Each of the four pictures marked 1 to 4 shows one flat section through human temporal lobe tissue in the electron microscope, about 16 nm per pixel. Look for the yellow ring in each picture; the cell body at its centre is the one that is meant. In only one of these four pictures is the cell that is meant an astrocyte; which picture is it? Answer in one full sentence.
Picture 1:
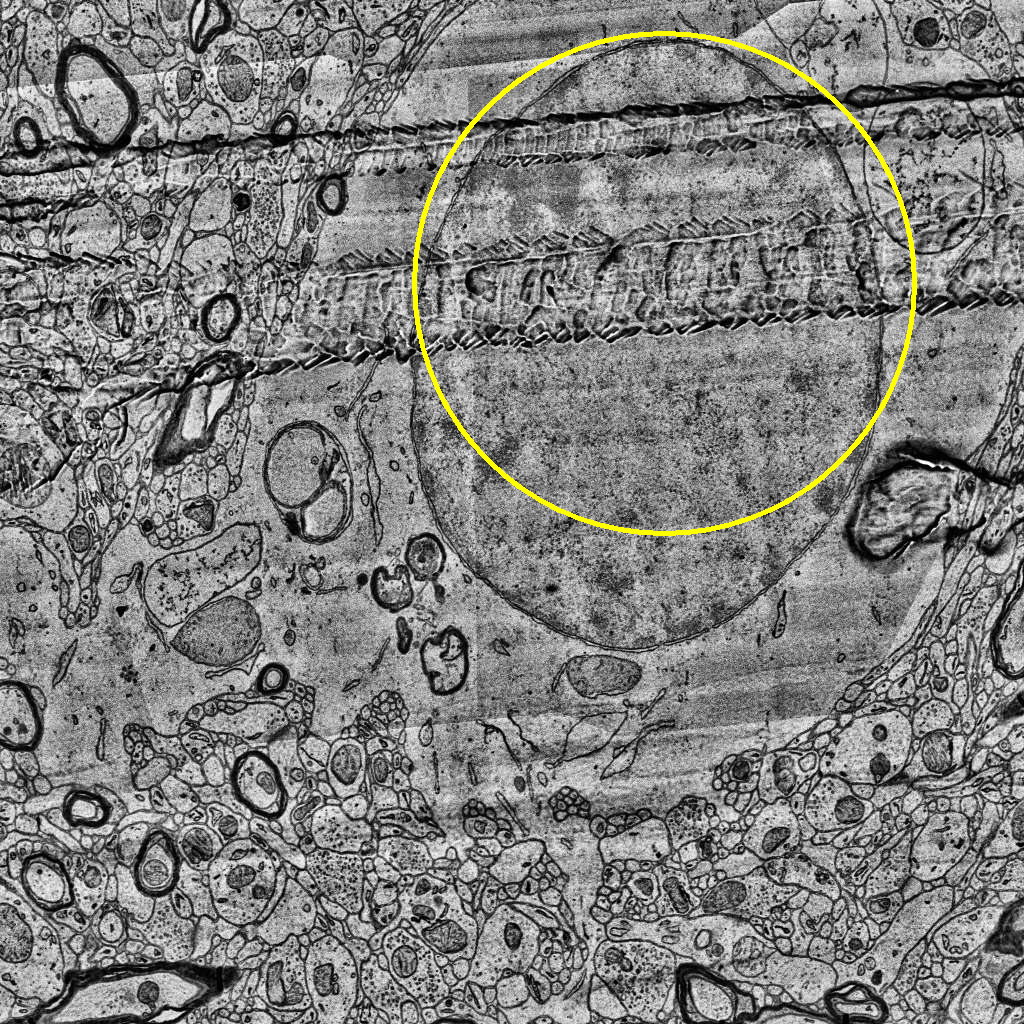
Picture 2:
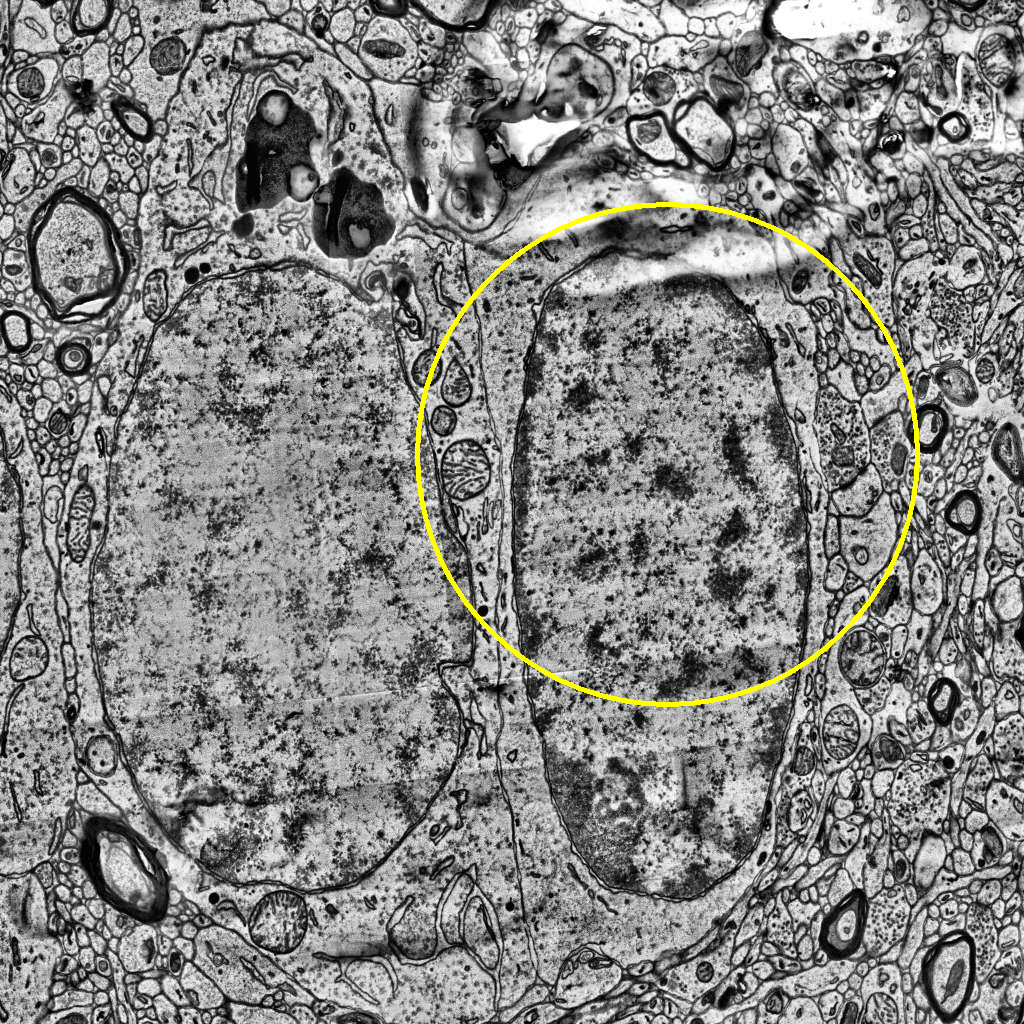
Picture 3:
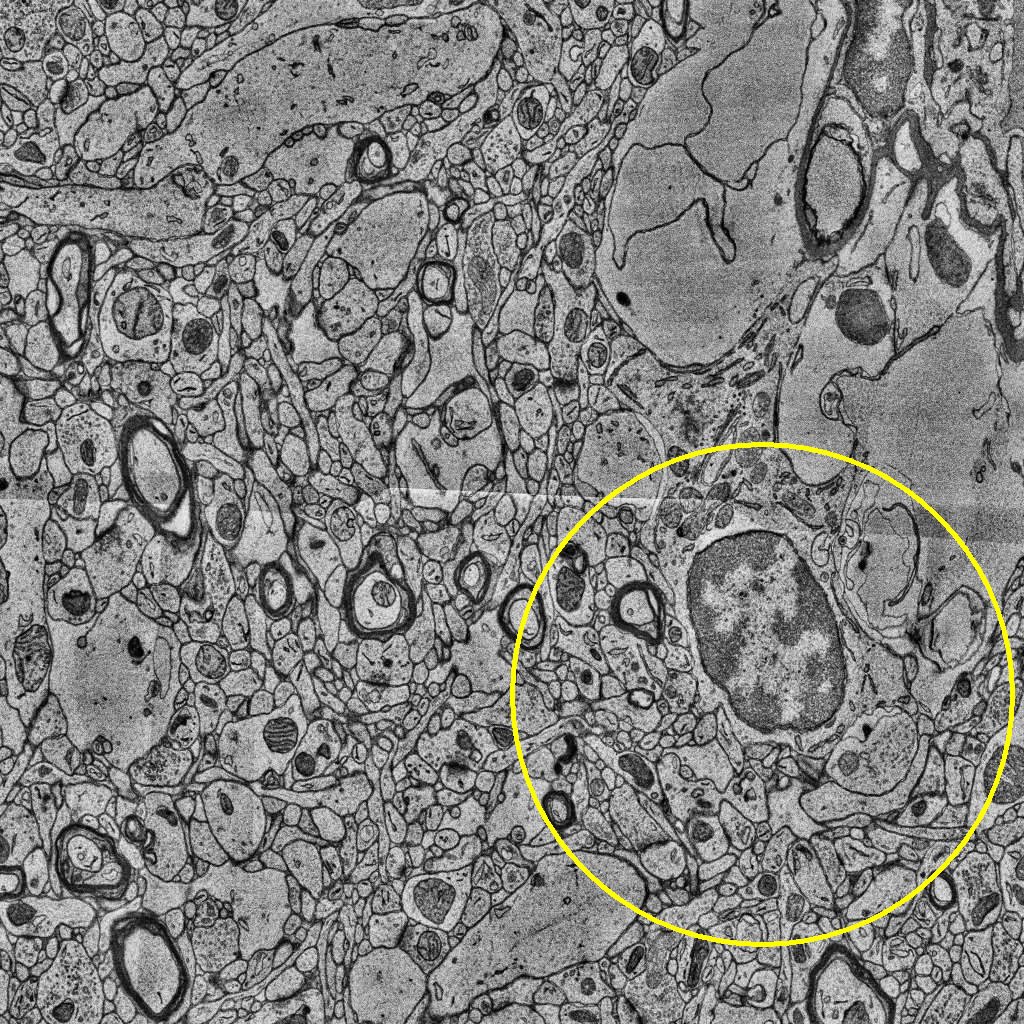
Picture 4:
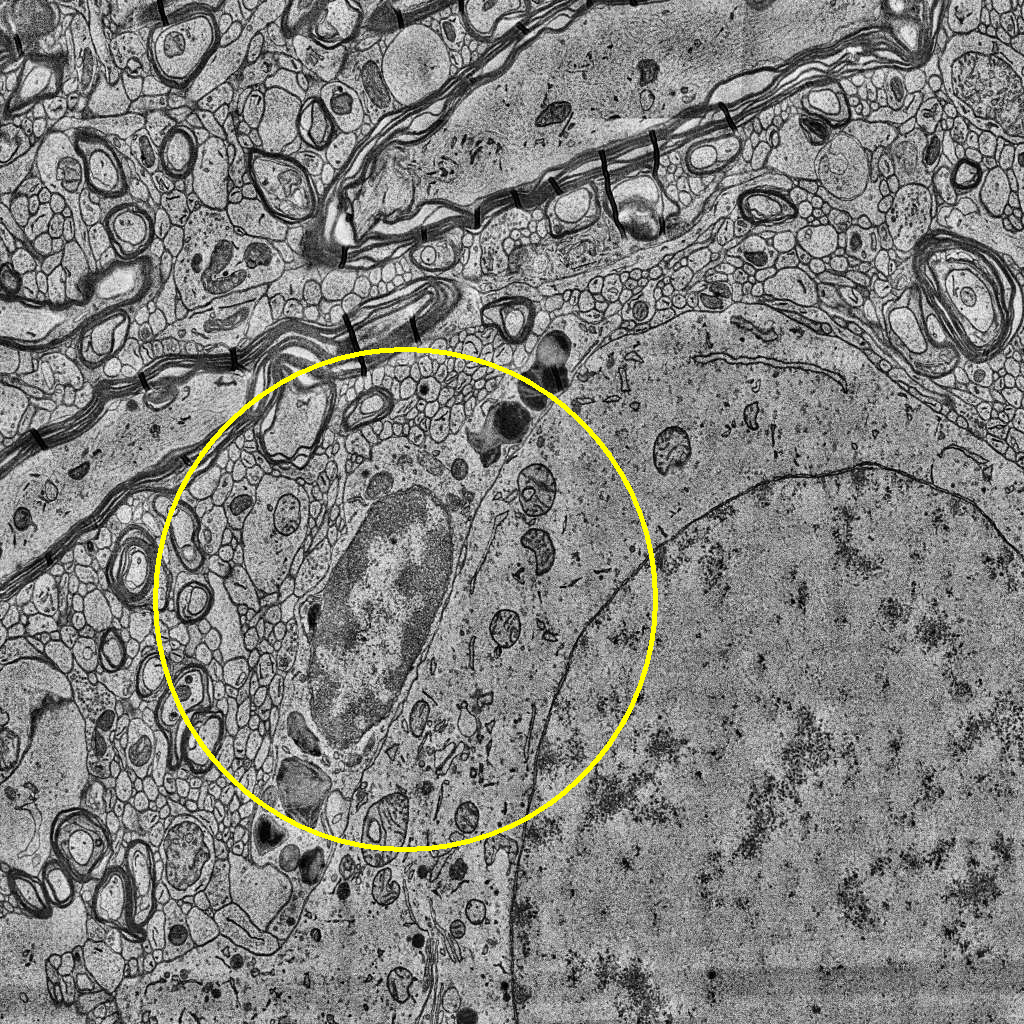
Picture 1 is the one that shows the astrocyte.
